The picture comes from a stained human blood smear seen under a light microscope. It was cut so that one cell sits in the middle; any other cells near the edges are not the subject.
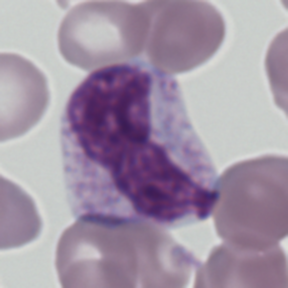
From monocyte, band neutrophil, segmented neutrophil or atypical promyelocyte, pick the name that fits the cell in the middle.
band neutrophil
